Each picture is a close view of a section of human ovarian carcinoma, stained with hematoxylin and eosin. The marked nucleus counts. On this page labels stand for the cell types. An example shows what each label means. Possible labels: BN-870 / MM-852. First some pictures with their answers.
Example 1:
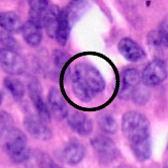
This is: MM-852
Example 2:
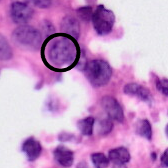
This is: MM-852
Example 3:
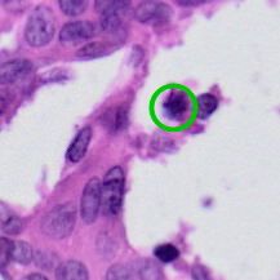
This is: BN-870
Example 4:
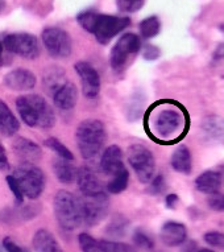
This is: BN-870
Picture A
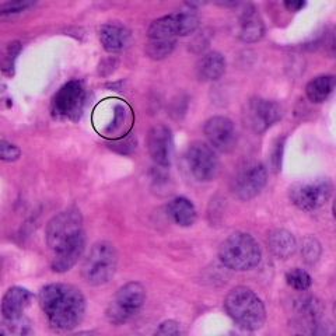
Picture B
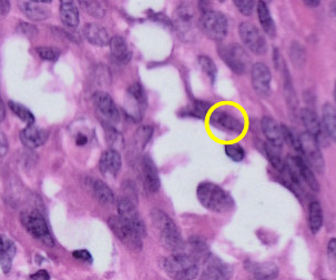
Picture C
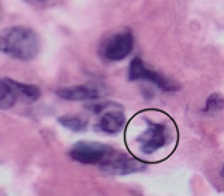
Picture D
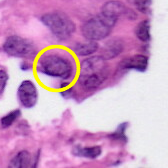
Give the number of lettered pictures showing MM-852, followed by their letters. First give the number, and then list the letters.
2: B, D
